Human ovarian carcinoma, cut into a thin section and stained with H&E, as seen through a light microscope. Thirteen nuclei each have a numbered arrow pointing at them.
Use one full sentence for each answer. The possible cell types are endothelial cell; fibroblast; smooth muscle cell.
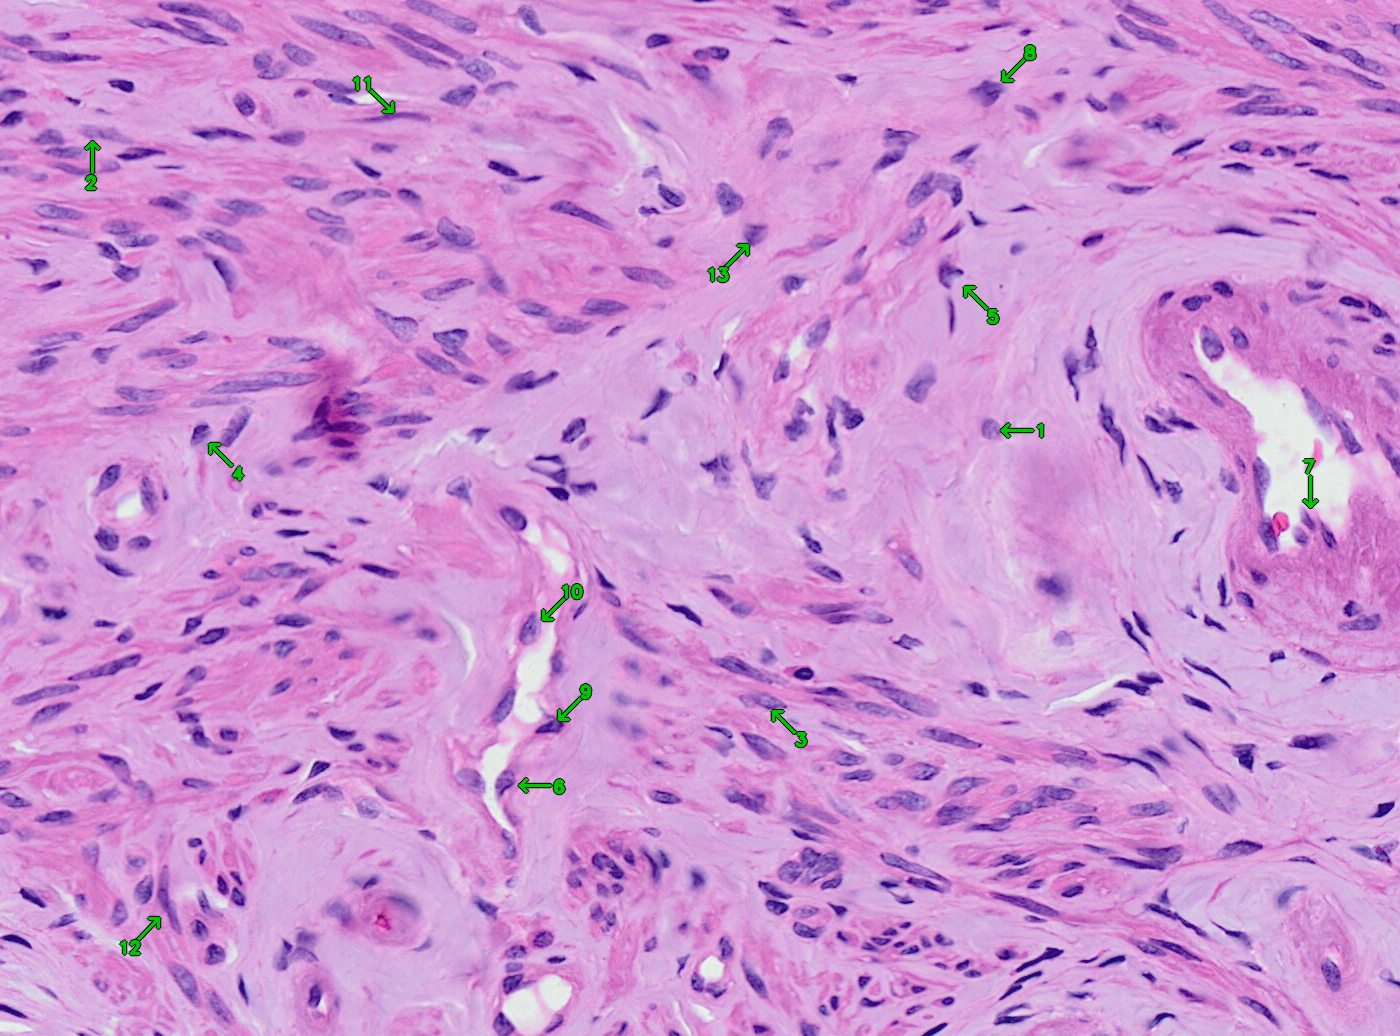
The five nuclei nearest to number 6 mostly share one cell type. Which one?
Endothelial cells make up most of the five nuclei closest to number 6.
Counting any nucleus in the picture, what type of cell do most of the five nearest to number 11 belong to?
Around number 11, most of the five nearest nuclei are those of fibroblasts.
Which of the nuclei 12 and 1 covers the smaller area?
It is nucleus 1; nucleus 12 has about 1.5 times its area.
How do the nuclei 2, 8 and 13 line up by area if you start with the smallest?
From smallest to largest, the order is 2, 13, 8.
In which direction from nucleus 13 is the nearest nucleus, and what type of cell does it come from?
It is a fibroblast, whose nucleus lies above and to the left of nucleus 13.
